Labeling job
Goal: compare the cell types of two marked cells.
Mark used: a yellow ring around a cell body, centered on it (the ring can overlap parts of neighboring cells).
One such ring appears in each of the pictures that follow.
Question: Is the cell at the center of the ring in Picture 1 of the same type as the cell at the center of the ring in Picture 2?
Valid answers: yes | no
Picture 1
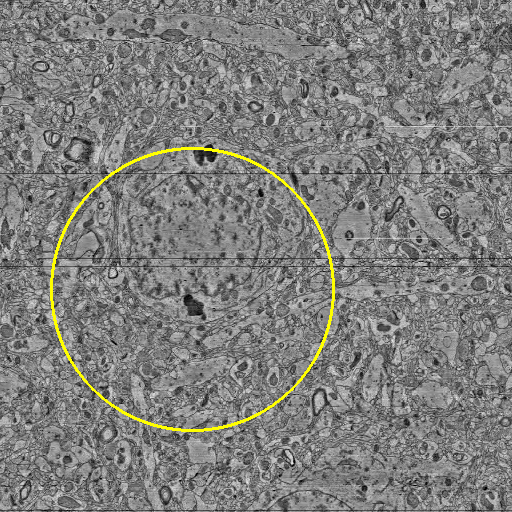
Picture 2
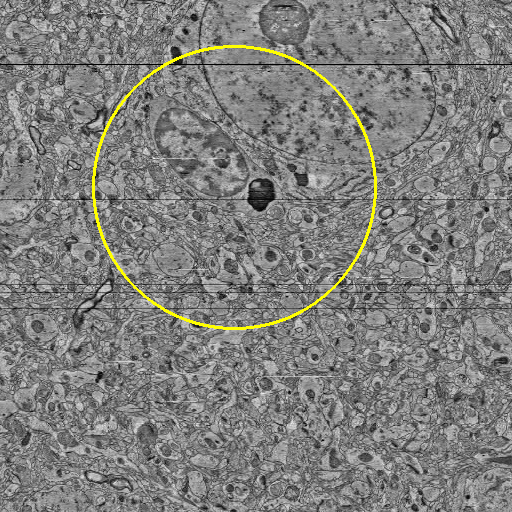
no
